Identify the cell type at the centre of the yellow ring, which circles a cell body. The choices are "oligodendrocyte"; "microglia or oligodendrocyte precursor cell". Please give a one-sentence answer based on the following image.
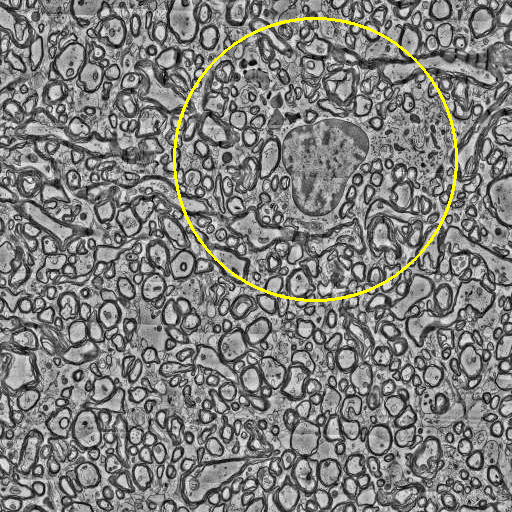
The cell marked by the ring is a microglial cell or oligodendrocyte precursor cell.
